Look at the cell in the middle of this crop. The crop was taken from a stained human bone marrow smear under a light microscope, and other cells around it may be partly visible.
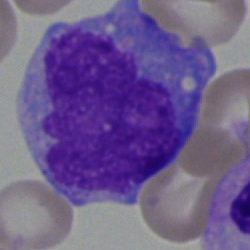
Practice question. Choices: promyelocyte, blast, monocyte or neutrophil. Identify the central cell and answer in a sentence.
The cell around which this crop is centred is a monocyte.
